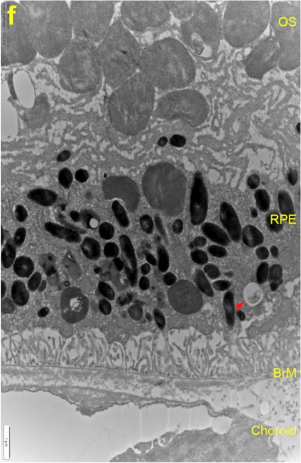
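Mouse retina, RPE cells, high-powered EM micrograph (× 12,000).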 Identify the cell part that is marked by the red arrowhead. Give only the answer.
intracellular vacuoles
